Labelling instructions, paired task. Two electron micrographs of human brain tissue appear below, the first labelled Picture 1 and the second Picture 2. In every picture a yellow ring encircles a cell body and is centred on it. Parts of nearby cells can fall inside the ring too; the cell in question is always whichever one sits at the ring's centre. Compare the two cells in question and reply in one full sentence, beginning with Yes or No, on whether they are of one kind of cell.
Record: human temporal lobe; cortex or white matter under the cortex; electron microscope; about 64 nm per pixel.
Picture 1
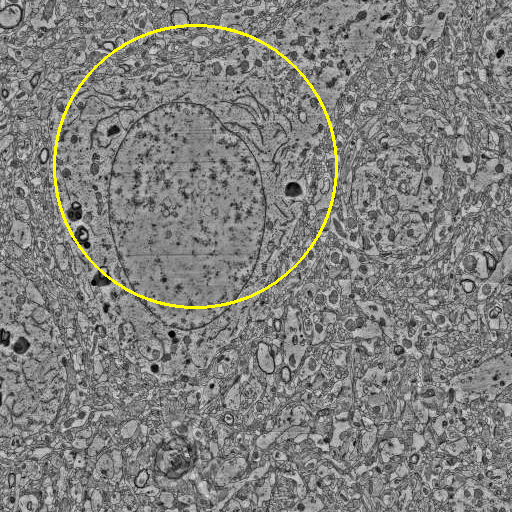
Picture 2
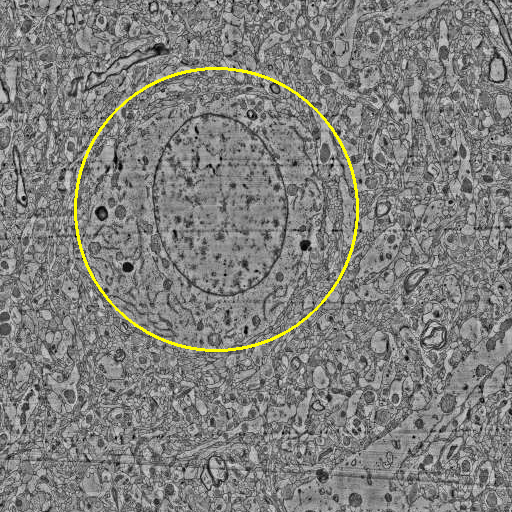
Yes, the two cells at the ring centres in Picture 1 and Picture 2 are of one kind.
